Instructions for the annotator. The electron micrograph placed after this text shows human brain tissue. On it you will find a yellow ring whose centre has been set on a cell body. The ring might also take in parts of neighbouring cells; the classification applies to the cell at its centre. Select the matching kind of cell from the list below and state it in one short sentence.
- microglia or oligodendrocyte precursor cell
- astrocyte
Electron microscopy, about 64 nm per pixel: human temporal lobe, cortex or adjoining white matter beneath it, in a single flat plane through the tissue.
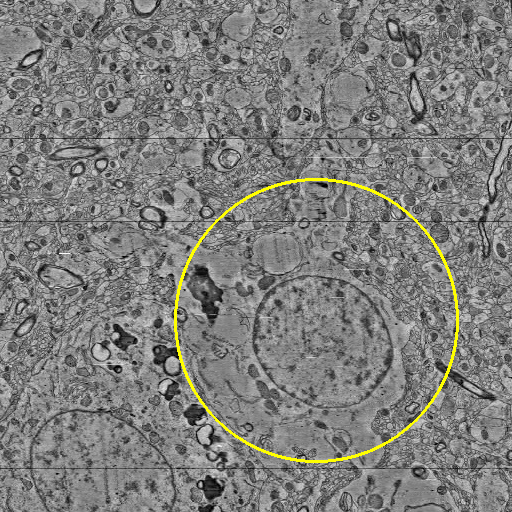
The ring is drawn on the cell body of an astrocyte.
